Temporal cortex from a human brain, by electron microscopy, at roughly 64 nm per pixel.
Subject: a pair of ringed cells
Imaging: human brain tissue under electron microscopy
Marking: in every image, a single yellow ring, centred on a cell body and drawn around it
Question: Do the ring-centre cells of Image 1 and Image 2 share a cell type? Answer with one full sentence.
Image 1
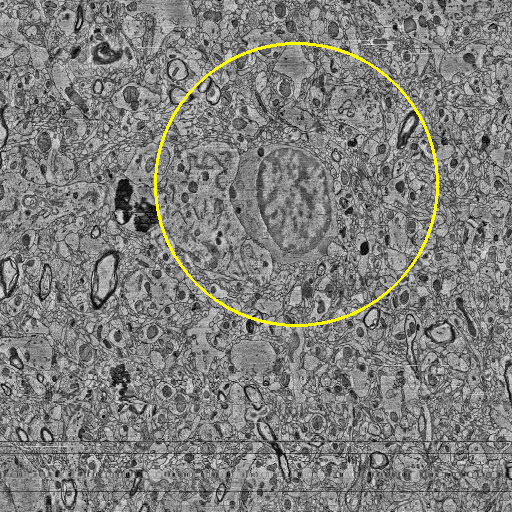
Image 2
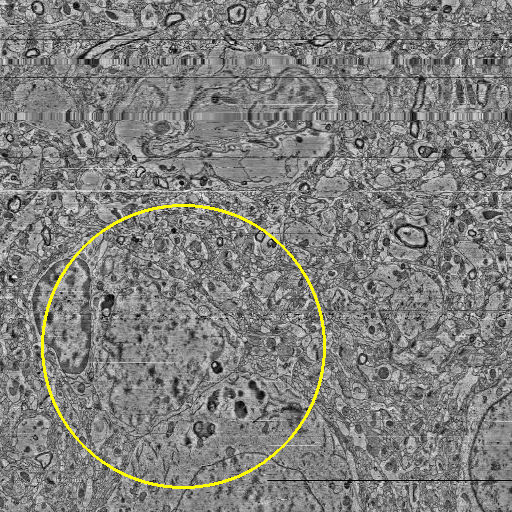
No, at the ring centres in the images sit cells of two separate types.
